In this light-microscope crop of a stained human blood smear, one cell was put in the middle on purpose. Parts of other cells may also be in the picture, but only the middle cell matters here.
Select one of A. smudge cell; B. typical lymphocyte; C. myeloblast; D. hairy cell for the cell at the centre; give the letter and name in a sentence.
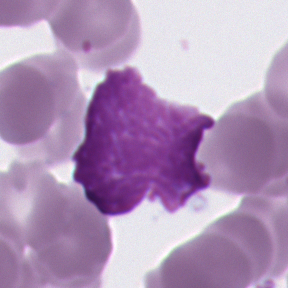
Here the right option is A, as the cell in the middle is a smudge cell.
